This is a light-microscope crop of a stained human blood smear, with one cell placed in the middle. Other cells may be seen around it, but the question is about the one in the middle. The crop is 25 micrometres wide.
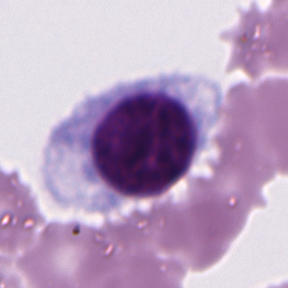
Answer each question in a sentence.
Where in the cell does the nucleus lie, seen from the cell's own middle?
Toward the right of the cell lies its nucleus.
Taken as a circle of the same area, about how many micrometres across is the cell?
The diameter of the cell comes to about 13 micrometres.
